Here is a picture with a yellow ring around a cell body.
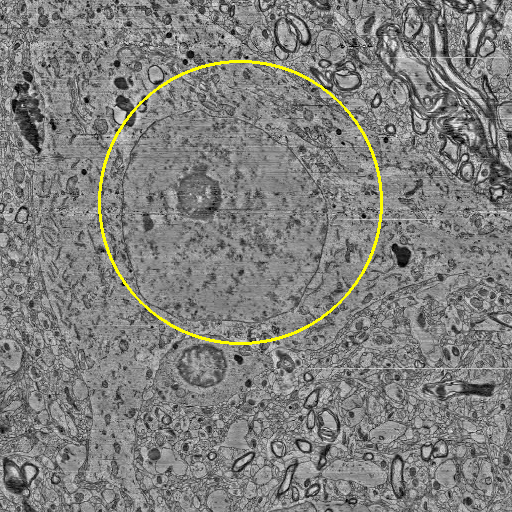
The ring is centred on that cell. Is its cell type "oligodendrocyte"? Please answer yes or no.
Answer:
no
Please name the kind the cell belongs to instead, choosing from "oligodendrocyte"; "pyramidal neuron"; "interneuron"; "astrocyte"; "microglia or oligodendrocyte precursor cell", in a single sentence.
Instead, the cell inside the ring is a pyramidal neuron.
